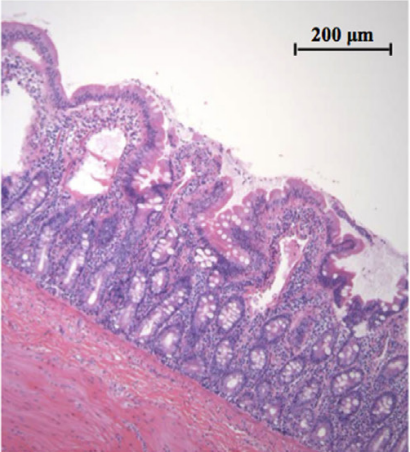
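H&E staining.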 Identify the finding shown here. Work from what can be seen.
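Fusion, shortening, and blunting of some of the villi. The mucosal projections are short and broad rather than slender and finger-like. Neighbouring projections appear merged at their bases. The crypt layer is thick relative to the height of the projections.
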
